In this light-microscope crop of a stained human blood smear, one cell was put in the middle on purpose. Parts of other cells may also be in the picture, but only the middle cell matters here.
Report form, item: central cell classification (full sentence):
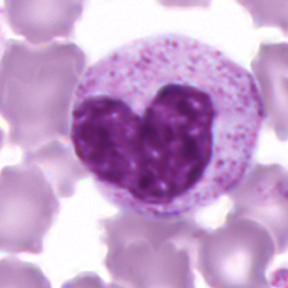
For this crop, the central cell is a metamyelocyte.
